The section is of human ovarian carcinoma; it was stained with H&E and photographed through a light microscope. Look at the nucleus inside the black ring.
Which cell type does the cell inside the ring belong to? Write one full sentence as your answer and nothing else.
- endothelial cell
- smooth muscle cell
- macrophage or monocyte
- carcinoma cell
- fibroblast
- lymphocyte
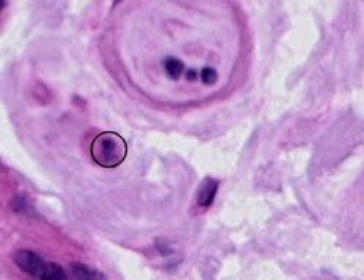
In the tissue under study, the cell inside the ring is a smooth muscle cell.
